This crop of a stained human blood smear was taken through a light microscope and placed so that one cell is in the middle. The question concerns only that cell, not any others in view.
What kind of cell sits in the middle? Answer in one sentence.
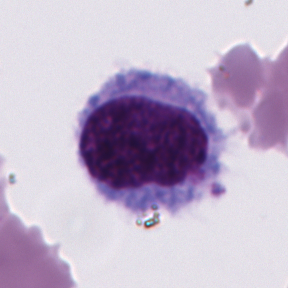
By classification, the middle cell of this crop is a hairy cell.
